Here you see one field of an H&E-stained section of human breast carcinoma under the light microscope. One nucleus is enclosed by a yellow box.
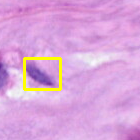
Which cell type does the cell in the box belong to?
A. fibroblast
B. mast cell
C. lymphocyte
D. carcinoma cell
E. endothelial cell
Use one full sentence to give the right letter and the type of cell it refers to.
Option A properly identifies the cell in the box as a fibroblast.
